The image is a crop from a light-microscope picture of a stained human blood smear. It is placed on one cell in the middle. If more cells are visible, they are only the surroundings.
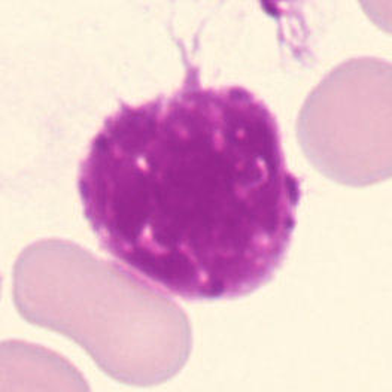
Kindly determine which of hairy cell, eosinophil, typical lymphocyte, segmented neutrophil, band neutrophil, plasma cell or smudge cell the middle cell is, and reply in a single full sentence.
By type, the central cell of the crop is a smudge cell.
